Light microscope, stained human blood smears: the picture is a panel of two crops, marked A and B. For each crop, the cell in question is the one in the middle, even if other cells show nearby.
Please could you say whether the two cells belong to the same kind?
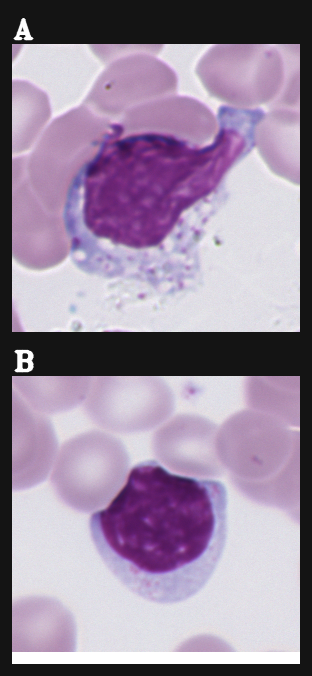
yes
